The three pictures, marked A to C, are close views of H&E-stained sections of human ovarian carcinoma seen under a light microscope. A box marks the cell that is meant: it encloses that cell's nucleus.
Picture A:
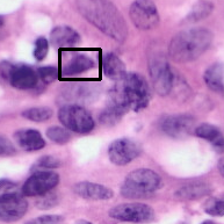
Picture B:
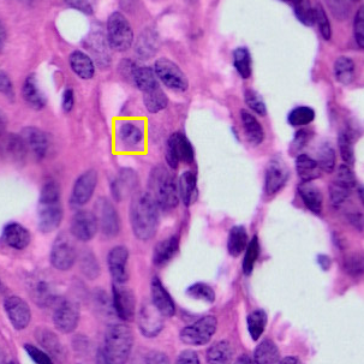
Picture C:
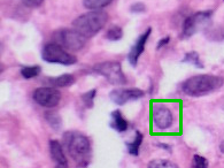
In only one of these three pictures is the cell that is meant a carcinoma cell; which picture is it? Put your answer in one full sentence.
It is picture A that shows the carcinoma cell.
